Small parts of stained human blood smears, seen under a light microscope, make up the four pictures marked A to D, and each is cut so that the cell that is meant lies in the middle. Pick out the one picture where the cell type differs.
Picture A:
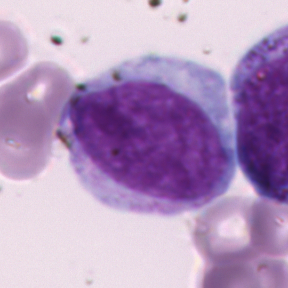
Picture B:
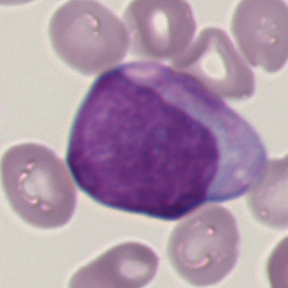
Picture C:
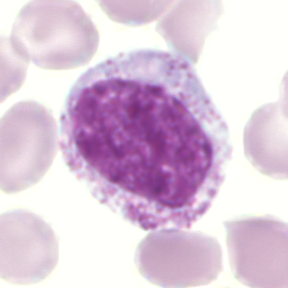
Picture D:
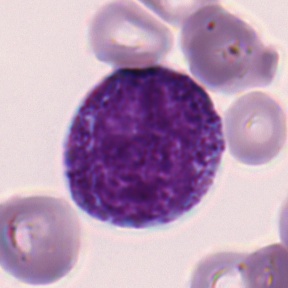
B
